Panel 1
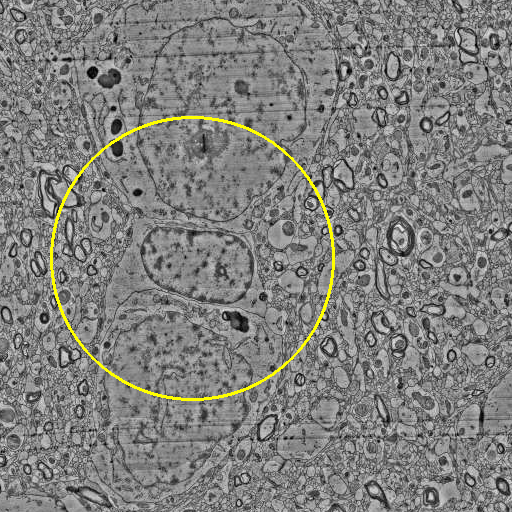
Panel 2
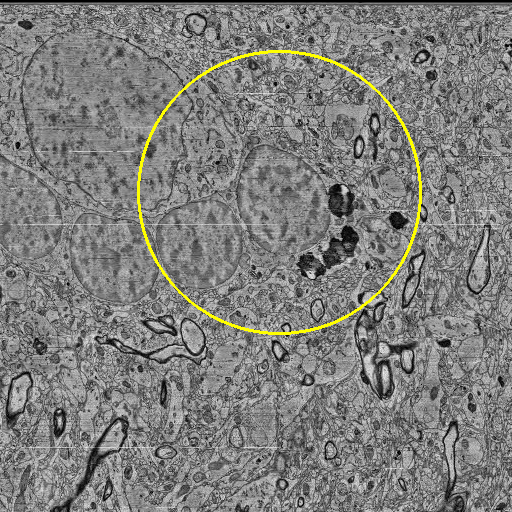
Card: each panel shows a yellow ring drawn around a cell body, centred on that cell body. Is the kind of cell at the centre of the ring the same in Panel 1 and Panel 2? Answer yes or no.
no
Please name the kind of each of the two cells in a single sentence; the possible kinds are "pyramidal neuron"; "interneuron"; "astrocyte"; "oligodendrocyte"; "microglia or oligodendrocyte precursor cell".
In the first picture the ring is centred on a microglial cell or oligodendrocyte precursor cell, and in the second on an oligodendrocyte.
